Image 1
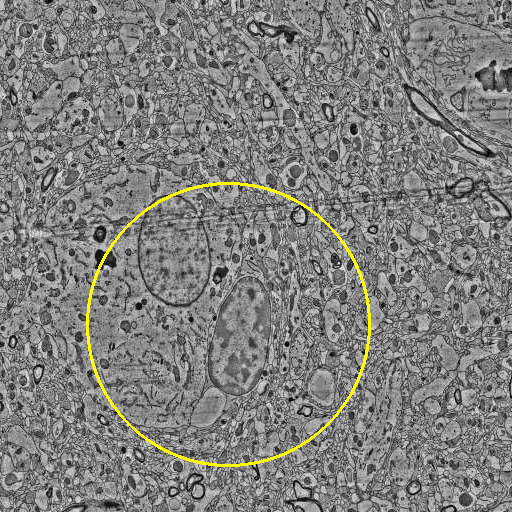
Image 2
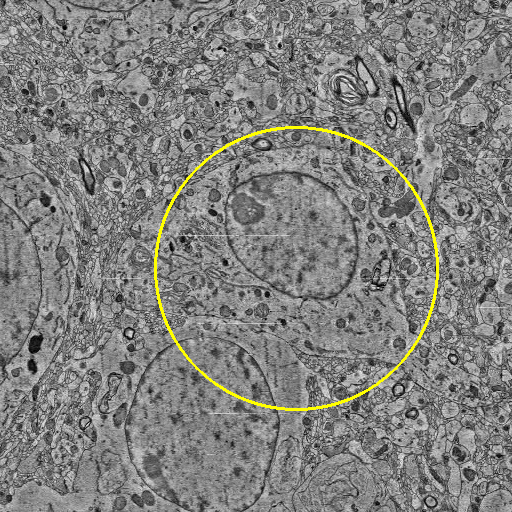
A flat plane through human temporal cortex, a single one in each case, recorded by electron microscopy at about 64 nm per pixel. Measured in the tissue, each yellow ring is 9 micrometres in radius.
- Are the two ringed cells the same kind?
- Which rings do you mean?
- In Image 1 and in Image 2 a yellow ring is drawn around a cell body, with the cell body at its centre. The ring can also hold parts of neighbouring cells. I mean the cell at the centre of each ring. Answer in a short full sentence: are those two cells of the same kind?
No, the cells are of two kinds.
